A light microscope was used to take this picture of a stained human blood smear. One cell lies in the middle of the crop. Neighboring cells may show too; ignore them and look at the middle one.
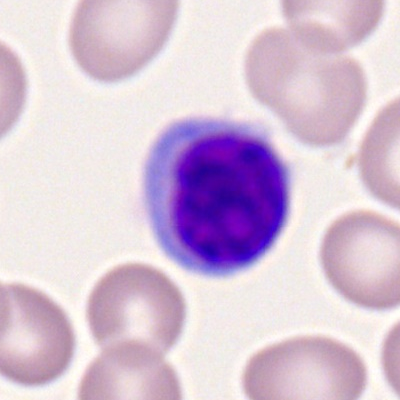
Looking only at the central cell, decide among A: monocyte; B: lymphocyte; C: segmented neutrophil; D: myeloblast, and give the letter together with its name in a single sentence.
The central cell, a lymphocyte, is correctly identified by option B.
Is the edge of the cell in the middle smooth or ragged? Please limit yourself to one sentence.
Edge check done: smooth outline, no projections present.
